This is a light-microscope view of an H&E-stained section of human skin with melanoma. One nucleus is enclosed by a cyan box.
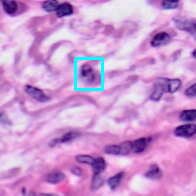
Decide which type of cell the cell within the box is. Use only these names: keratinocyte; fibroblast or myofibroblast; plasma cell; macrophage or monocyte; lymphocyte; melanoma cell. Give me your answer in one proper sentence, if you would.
Students should answer that the cell within the box is a plasma cell.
